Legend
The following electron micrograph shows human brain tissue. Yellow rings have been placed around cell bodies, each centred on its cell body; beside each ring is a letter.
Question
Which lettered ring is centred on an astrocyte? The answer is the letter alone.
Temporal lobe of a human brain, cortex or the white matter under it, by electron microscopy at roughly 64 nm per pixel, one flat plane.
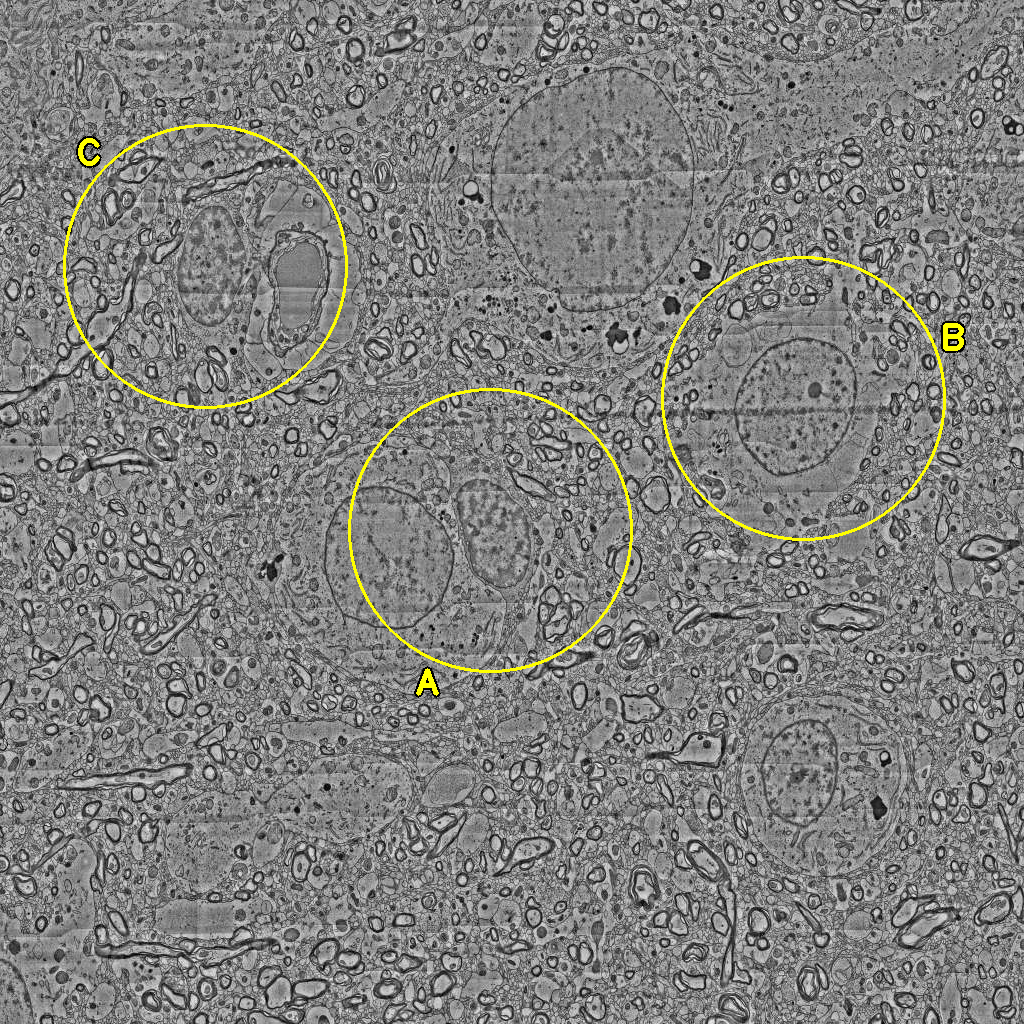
B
